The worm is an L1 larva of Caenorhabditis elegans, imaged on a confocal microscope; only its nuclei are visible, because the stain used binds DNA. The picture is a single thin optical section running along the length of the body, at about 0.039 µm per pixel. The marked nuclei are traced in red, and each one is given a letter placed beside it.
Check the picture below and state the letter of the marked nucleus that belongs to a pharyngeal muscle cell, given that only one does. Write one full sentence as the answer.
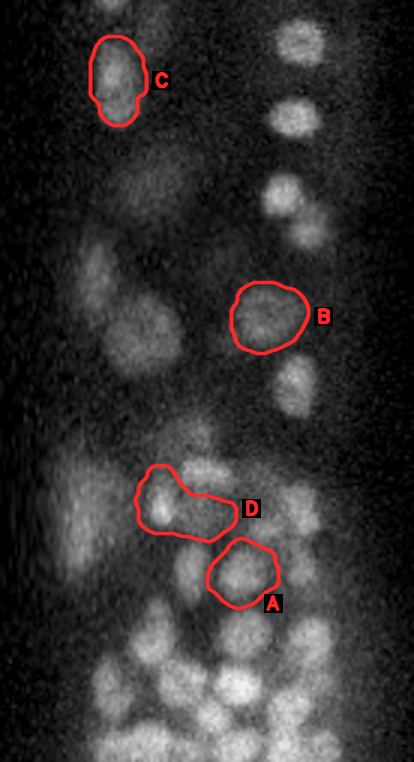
The nucleus of a pharyngeal muscle cell is A.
